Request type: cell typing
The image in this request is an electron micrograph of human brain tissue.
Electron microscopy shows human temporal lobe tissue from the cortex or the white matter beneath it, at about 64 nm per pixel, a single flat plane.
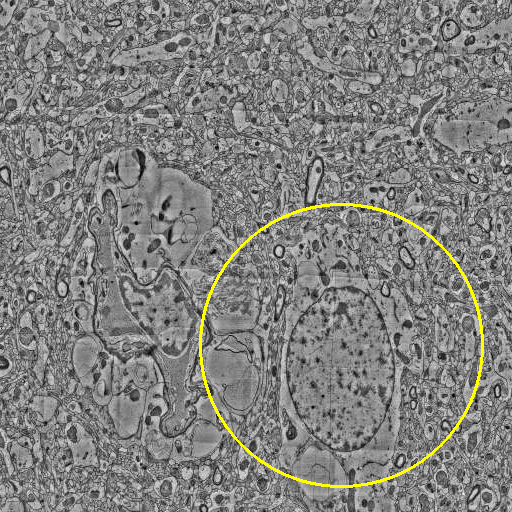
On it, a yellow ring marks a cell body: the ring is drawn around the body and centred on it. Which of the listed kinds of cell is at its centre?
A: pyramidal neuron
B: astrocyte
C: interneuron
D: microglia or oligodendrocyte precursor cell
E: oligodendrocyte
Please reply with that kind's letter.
B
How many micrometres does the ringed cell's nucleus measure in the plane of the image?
Approximately 10 by 7 micrometers in this plane.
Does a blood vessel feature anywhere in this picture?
Yes.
